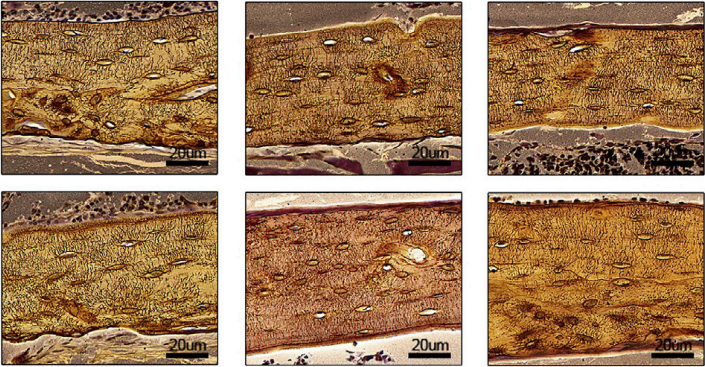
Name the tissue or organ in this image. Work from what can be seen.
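Cortical bone. A dense band of matrix with evenly spaced lacunae runs across each image. Marrow-like cellular tissue lies beside the band at the edges.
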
